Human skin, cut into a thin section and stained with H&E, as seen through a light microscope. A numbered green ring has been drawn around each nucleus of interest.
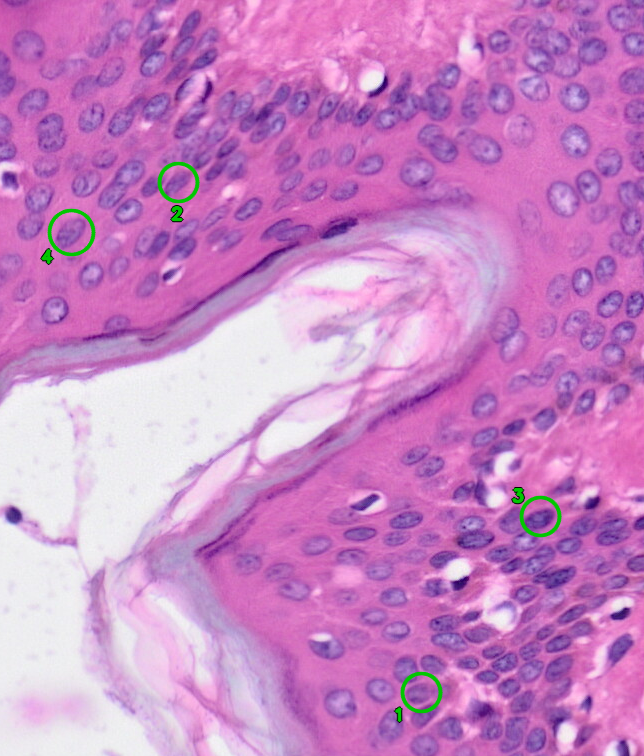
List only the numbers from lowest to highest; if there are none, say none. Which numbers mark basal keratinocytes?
1, 2, 3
